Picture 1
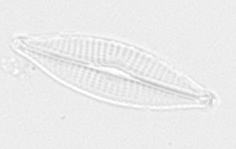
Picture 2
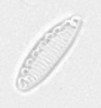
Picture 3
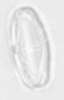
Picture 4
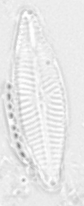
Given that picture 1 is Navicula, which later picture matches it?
4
